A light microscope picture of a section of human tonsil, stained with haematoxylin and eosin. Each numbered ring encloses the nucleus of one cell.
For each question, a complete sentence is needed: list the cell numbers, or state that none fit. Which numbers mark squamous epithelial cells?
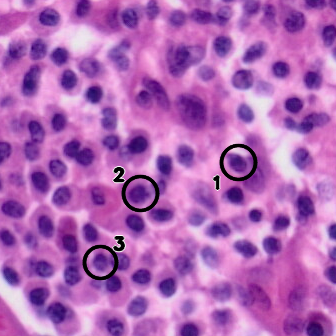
Cell 1 is a squamous epithelial cell, and this holds for no other numbered cell.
